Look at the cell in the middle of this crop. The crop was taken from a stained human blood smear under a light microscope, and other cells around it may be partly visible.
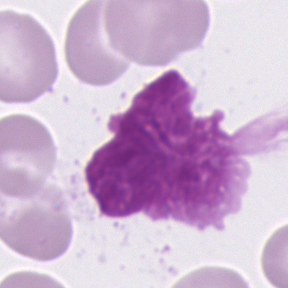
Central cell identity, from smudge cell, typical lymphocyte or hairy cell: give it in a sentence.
For this crop, the cell in the middle is a smudge cell.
